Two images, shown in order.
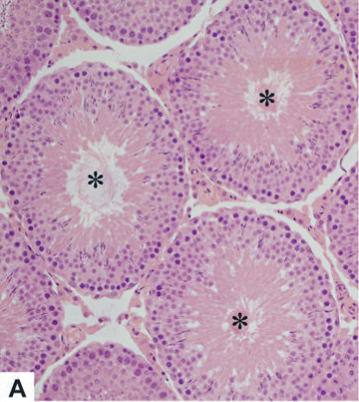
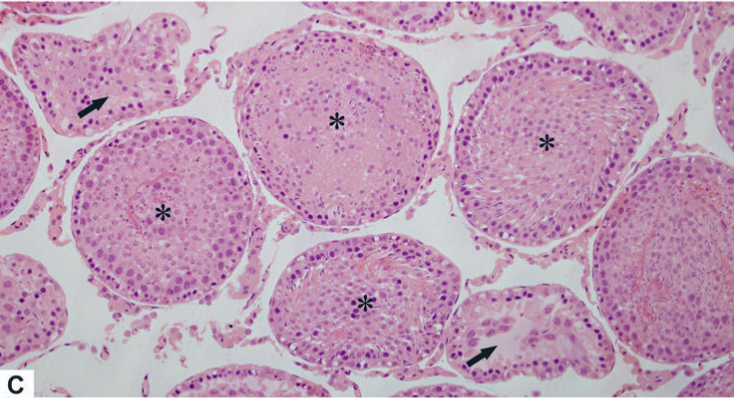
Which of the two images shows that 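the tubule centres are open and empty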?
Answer: The first image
